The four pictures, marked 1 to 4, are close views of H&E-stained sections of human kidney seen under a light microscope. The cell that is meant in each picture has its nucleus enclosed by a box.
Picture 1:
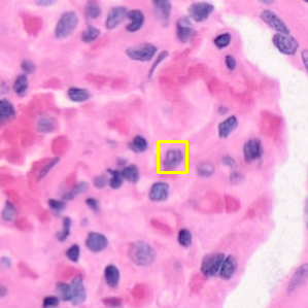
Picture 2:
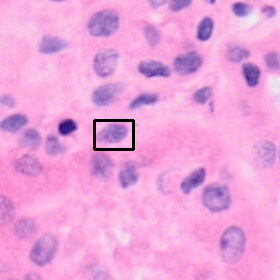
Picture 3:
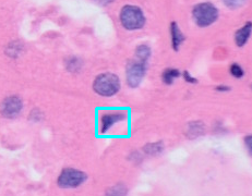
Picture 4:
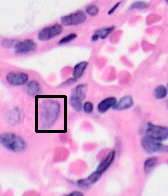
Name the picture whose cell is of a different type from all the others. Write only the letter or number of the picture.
4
